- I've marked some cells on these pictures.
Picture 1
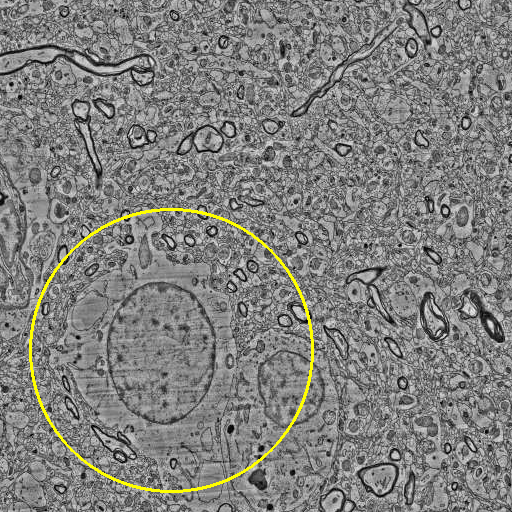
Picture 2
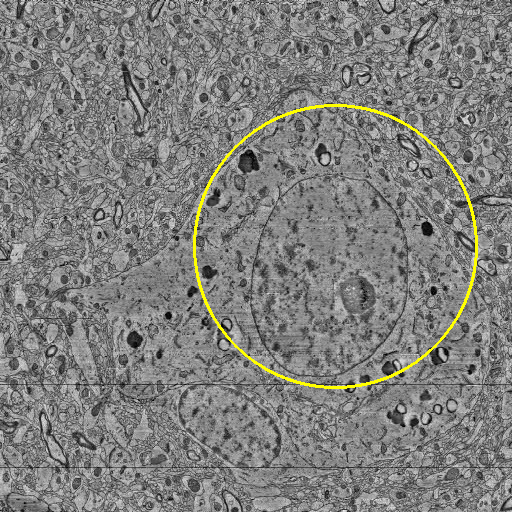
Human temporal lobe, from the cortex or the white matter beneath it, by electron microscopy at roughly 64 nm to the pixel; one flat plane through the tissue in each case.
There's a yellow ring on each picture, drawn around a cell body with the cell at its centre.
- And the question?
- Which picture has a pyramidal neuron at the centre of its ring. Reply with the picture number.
2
